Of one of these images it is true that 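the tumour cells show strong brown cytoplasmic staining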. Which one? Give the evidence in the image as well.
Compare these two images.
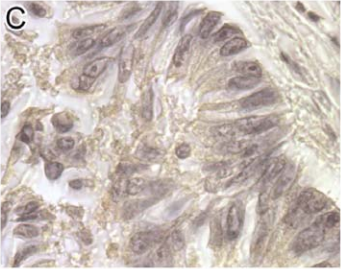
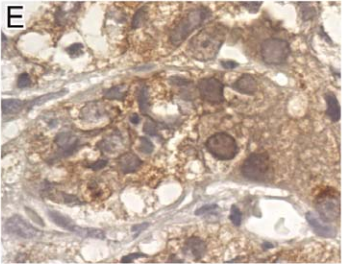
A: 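First image: tumour cells have pale, faintly tan cytoplasm with grey-blue nuclei. Second image: tumour cell cytoplasm is densely and granularly brown.
Answer: the second image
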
